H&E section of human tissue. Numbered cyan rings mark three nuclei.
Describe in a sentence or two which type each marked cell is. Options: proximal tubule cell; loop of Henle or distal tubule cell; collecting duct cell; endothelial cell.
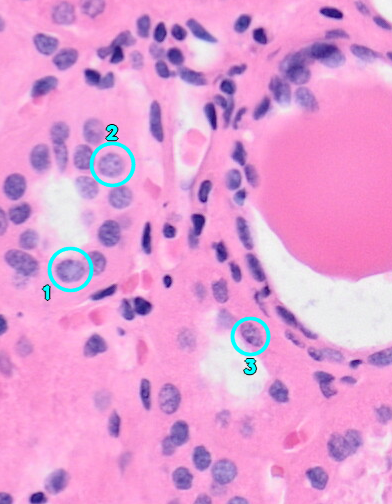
Cells 1 and 2 are collecting duct cells. Cell 3 is a loop of Henle or distal tubule cell.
